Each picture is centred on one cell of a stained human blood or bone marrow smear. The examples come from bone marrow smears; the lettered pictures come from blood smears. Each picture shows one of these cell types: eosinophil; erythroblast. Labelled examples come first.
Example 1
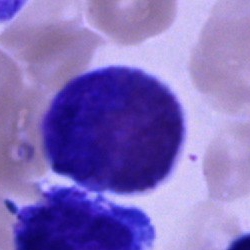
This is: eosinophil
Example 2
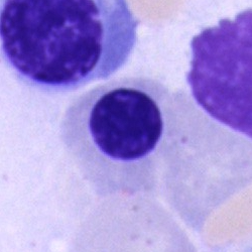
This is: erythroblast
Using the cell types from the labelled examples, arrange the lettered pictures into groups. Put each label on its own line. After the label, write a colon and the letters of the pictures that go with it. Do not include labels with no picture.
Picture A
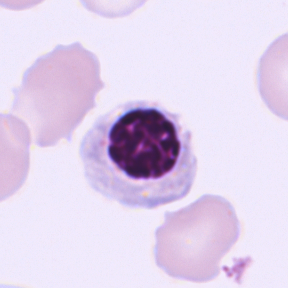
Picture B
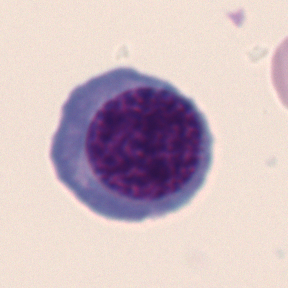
erythroblast: A, B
